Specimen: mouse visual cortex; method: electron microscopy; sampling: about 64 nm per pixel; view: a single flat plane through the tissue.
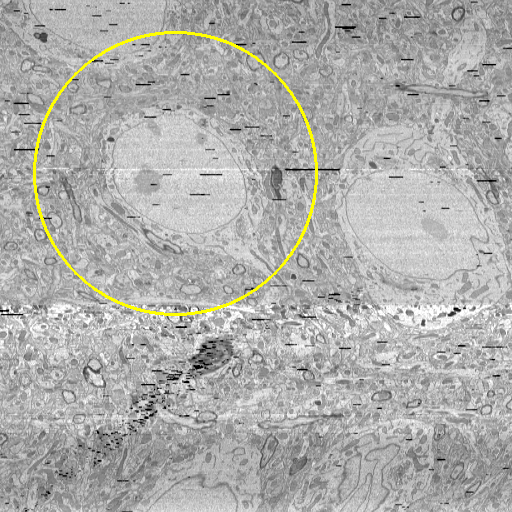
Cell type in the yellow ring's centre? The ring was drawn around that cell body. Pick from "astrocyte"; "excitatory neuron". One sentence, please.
The ringed cell body is that of an excitatory neuron.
